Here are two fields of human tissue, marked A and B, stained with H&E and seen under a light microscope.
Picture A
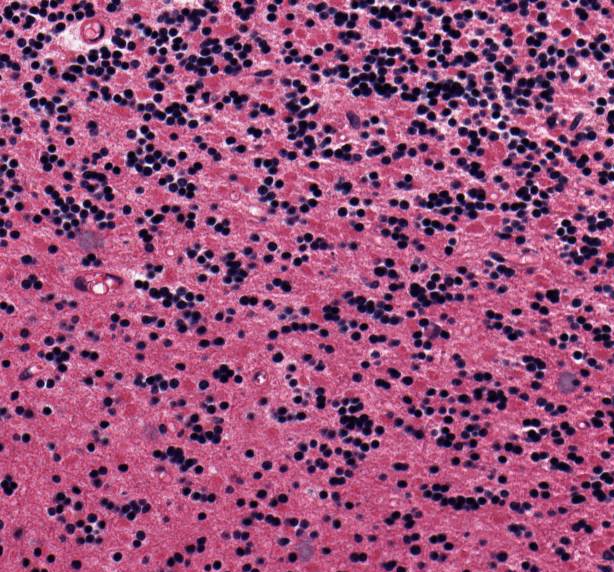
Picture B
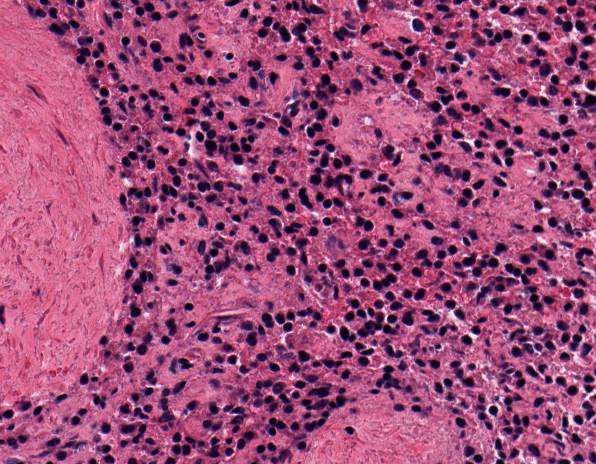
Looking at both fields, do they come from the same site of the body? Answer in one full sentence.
No. Picture A comes from the cerebellum, whereas picture B comes from the spleen.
